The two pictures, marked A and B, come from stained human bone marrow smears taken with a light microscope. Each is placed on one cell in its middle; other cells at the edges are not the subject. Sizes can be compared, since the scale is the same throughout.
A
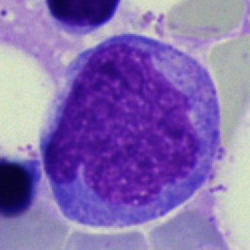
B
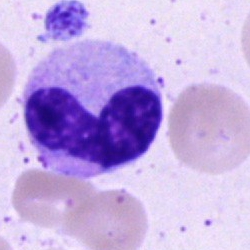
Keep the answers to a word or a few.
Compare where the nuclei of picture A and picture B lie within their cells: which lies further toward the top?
A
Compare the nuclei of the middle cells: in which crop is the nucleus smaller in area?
B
